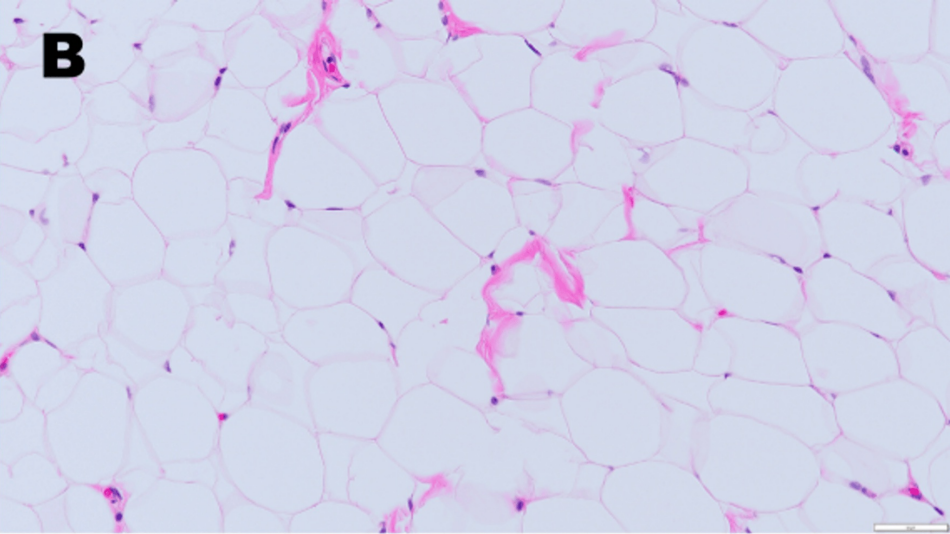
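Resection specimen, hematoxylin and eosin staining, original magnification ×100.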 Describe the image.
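Mature fat tissue fills the field. The cells fit closely together in a honeycomb pattern. Their small, dark purple nuclei are flattened and pushed to the edge of the cell. The cells are fairly even in size, and there are no enlarged or atypical nuclei. Between them run scattered wavy, bright pink bands of fibrous connective tissue. A few slender, spindle-shaped nuclei lie within these bands.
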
